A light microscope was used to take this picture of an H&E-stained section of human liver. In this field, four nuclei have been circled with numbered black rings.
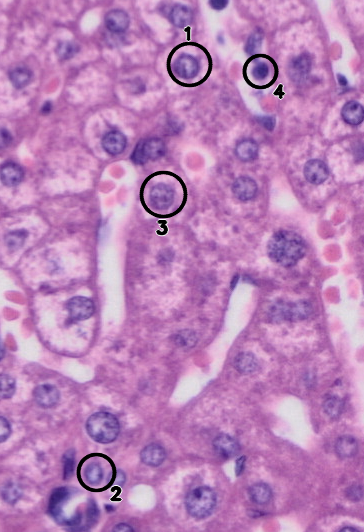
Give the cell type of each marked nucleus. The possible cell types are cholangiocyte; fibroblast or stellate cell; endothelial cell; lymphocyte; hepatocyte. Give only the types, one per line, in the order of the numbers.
hepatocyte
cholangiocyte
hepatocyte
lymphocyte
